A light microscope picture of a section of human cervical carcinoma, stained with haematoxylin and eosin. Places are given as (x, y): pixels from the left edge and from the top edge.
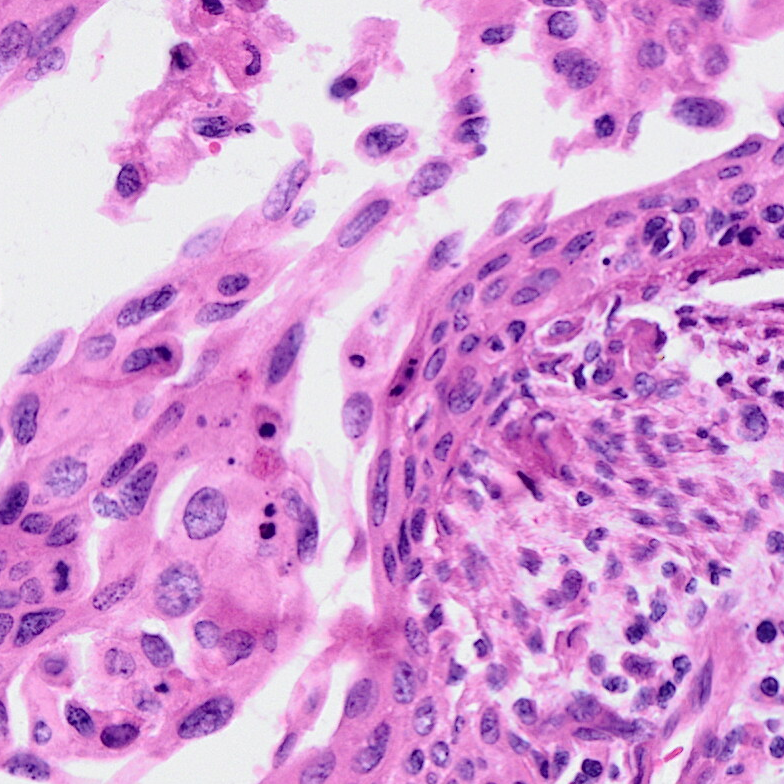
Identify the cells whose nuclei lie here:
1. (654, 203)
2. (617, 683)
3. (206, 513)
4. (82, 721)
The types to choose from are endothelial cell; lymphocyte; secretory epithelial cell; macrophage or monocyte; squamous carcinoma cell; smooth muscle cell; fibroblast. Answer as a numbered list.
1. squamous carcinoma cell
2. lymphocyte
3. squamous carcinoma cell
4. squamous carcinoma cell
